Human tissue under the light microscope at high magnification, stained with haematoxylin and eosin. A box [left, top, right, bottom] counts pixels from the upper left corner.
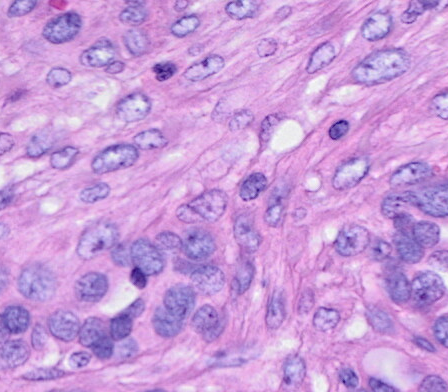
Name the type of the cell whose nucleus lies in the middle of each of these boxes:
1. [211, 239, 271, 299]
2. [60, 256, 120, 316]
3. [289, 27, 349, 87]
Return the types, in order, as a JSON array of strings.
["fibroblast", "carcinoma cell", "fibroblast"]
